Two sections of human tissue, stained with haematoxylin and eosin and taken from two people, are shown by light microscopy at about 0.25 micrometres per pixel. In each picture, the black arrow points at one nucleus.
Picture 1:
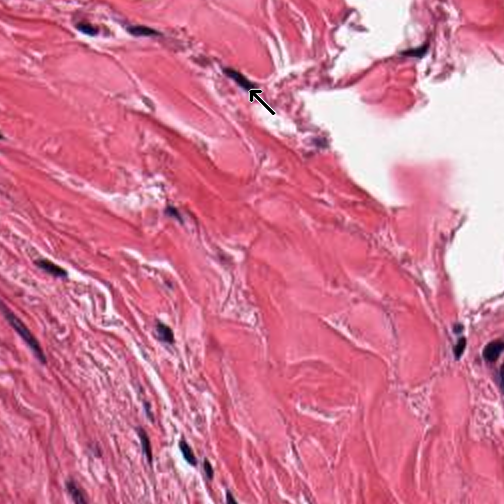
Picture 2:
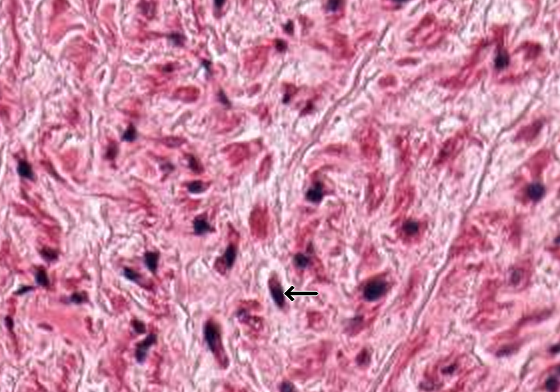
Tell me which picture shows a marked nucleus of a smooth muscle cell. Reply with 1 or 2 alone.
2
